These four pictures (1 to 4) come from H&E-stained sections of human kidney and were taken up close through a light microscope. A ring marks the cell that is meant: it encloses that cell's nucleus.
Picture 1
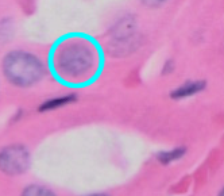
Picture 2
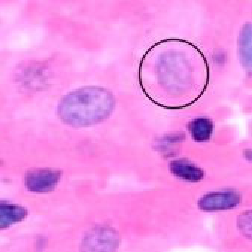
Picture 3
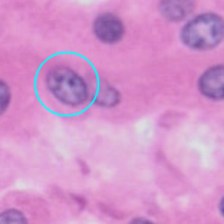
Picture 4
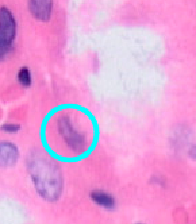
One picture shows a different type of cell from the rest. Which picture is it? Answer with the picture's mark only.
1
